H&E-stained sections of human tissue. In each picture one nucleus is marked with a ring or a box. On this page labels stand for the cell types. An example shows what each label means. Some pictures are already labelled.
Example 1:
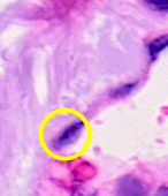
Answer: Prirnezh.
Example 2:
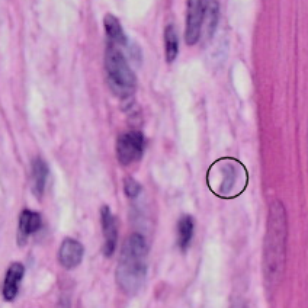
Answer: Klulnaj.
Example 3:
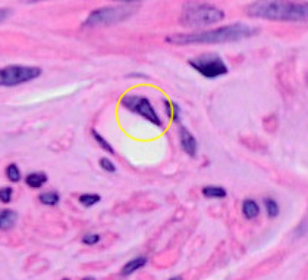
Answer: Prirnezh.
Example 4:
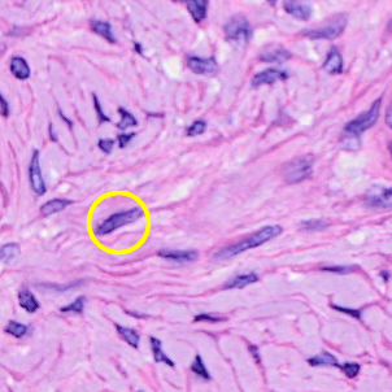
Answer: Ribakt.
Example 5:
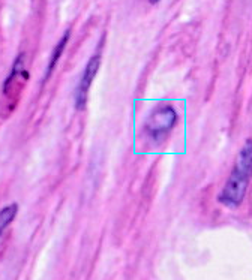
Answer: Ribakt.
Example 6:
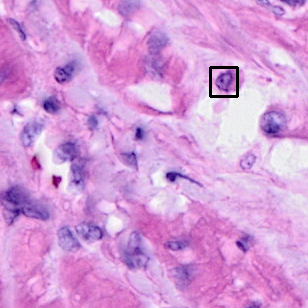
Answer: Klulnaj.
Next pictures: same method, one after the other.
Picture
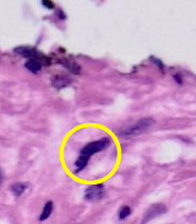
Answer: Ribakt.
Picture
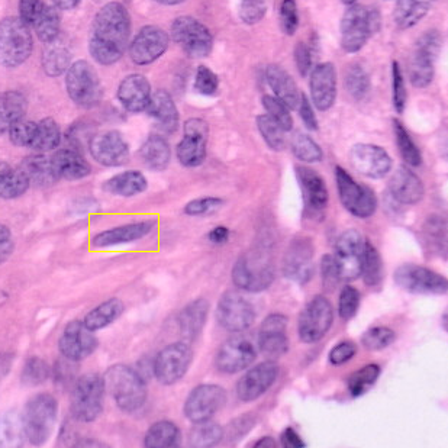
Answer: Prirnezh.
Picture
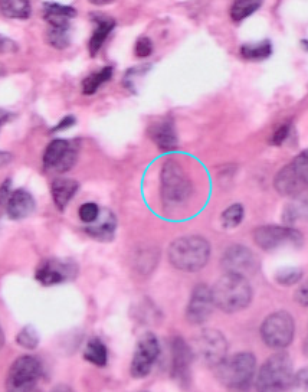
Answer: Prirnezh.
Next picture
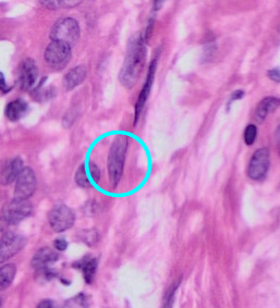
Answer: Prirnezh.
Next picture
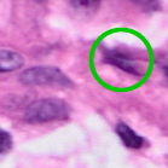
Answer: Prirnezh.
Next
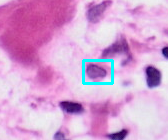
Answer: Klulnaj.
